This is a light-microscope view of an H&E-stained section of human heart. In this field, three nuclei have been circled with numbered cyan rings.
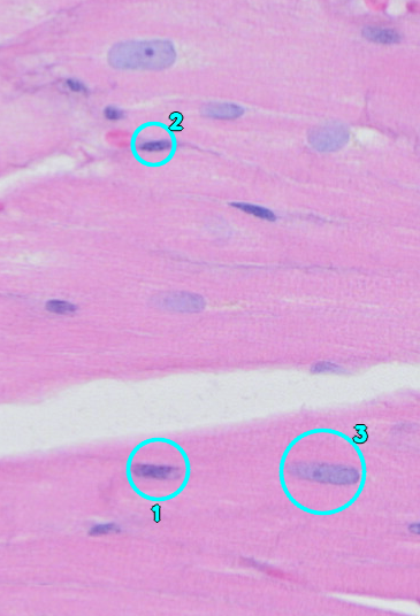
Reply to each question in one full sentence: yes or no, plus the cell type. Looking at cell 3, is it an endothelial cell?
No, number 3 is not an endothelial cell but a cardiomyocyte.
